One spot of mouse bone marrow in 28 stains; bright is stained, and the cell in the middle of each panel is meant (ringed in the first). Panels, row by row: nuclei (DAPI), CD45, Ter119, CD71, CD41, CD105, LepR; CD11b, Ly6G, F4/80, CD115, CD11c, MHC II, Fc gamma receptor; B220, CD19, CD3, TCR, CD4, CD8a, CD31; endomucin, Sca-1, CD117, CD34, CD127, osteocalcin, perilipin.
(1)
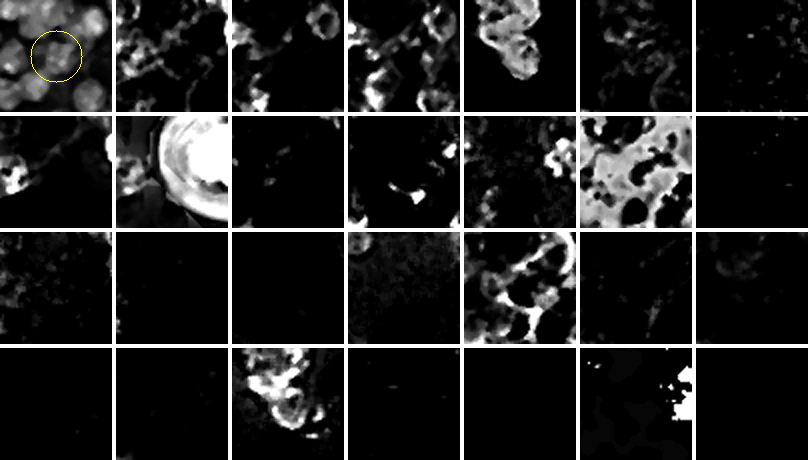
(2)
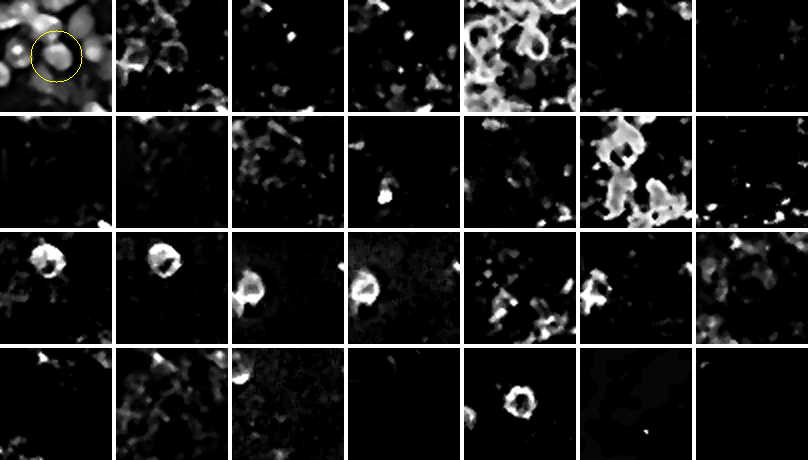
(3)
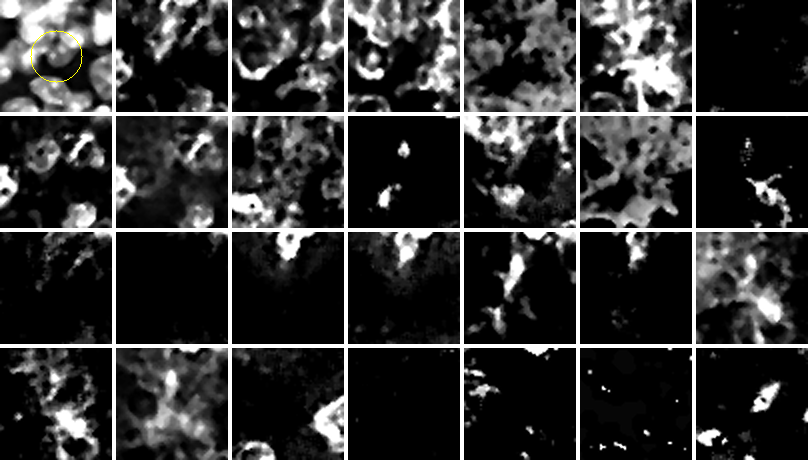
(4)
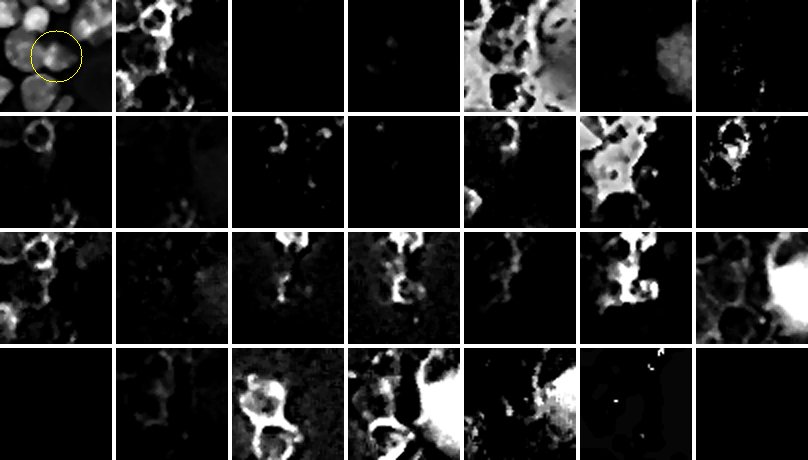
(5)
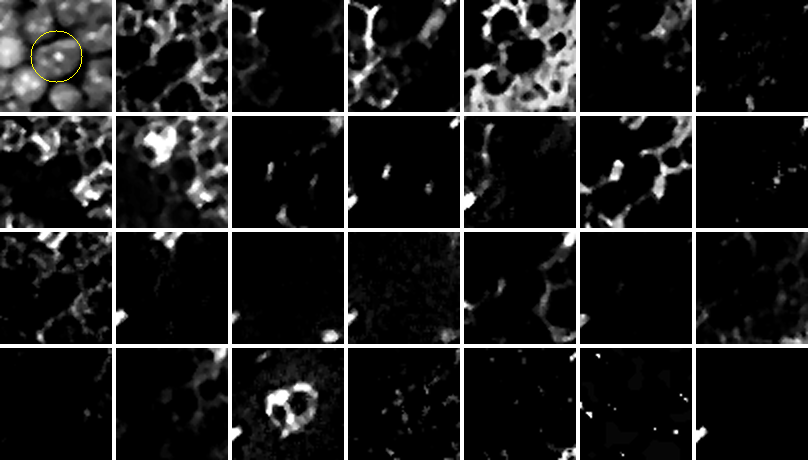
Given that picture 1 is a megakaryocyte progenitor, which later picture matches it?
4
